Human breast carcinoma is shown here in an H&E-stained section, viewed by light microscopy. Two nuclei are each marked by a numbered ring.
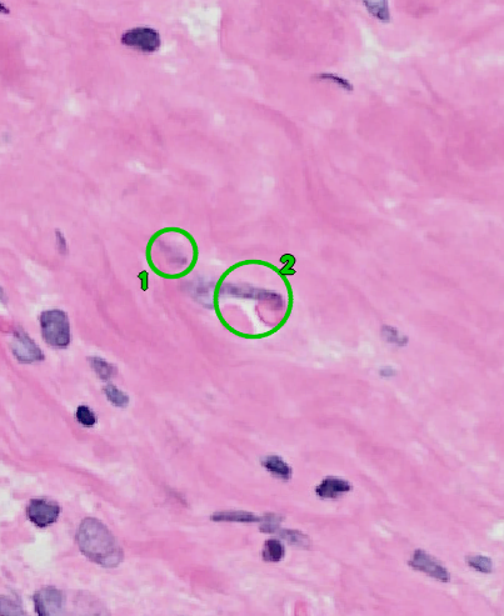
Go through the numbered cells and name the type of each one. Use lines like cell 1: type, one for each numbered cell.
cell 1: fibroblast
cell 2: endothelial cell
